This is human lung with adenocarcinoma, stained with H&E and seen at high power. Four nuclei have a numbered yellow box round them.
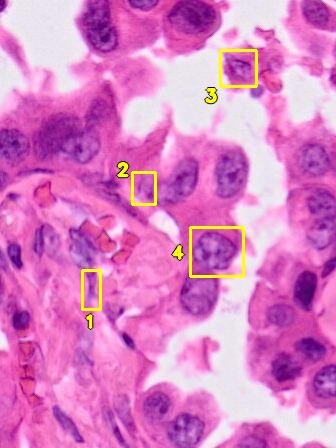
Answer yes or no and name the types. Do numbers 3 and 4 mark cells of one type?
No; whereas cell 3 is a macrophage or monocyte, cell 4 is a carcinoma cell.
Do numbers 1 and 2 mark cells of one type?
No, cell 1 is a fibroblast; cell 2, by contrast, is a carcinoma cell.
